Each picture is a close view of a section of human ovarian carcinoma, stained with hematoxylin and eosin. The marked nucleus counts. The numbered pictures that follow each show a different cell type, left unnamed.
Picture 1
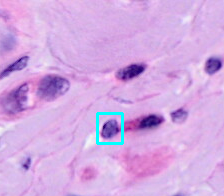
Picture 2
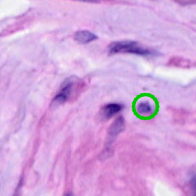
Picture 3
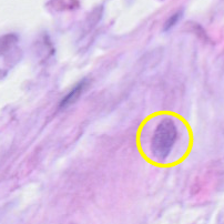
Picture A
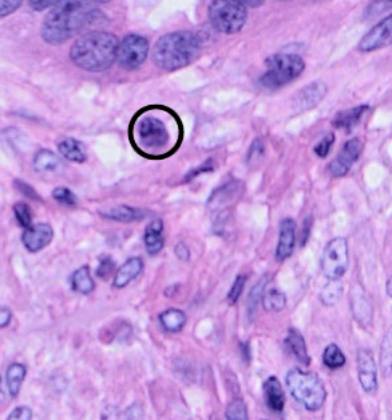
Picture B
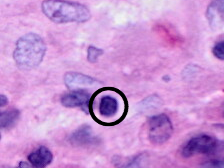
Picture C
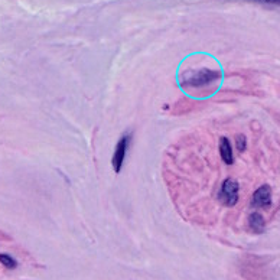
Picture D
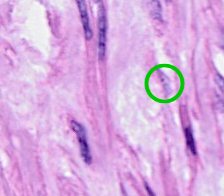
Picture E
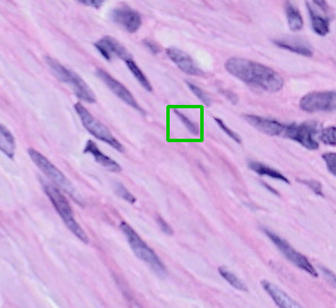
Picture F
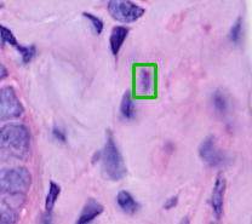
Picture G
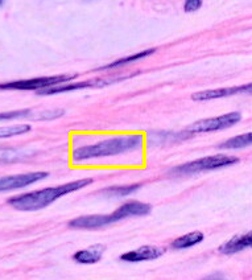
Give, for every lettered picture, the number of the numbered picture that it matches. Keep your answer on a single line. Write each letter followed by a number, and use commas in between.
A 1, B 1, C 2, D 3, E 2, F 2, G 2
